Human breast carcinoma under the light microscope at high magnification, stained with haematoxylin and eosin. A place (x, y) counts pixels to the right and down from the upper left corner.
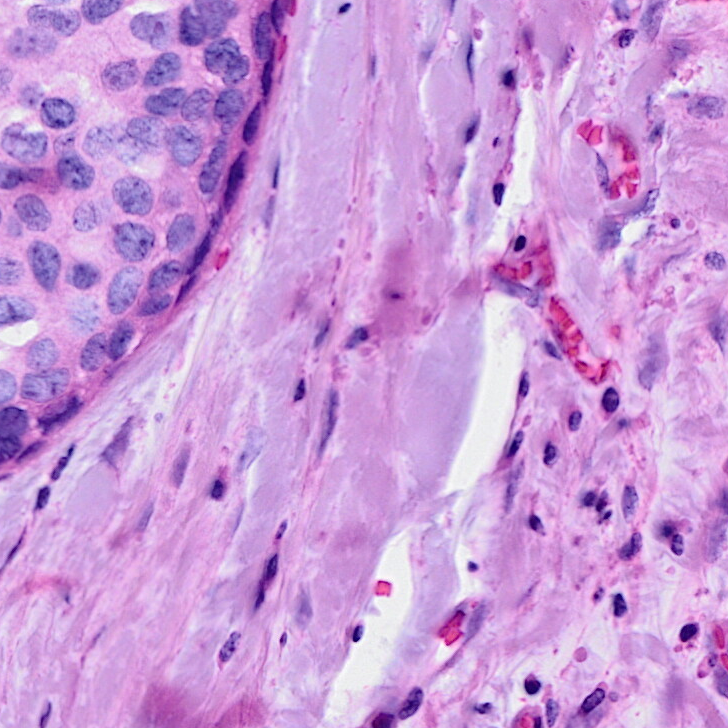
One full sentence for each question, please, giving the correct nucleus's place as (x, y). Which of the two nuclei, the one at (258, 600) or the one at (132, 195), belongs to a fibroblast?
Of the two nuclei, it is the one at (258, 600) that lies within a fibroblast.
